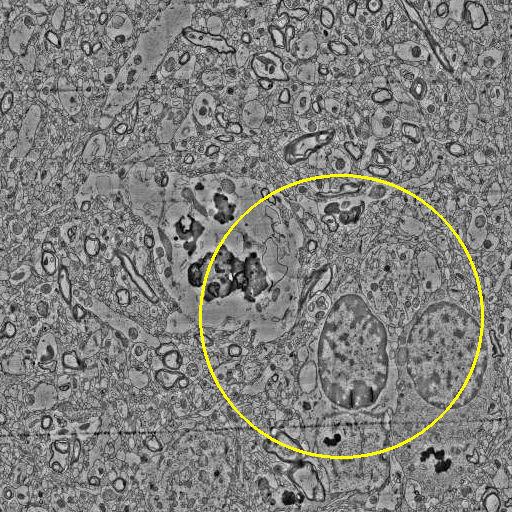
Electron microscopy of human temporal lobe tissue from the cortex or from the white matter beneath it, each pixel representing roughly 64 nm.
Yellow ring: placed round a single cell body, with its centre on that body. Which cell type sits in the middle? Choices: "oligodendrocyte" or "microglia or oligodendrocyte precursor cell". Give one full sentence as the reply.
It is a microglial cell or oligodendrocyte precursor cell whose cell body sits at the centre of the yellow ring.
